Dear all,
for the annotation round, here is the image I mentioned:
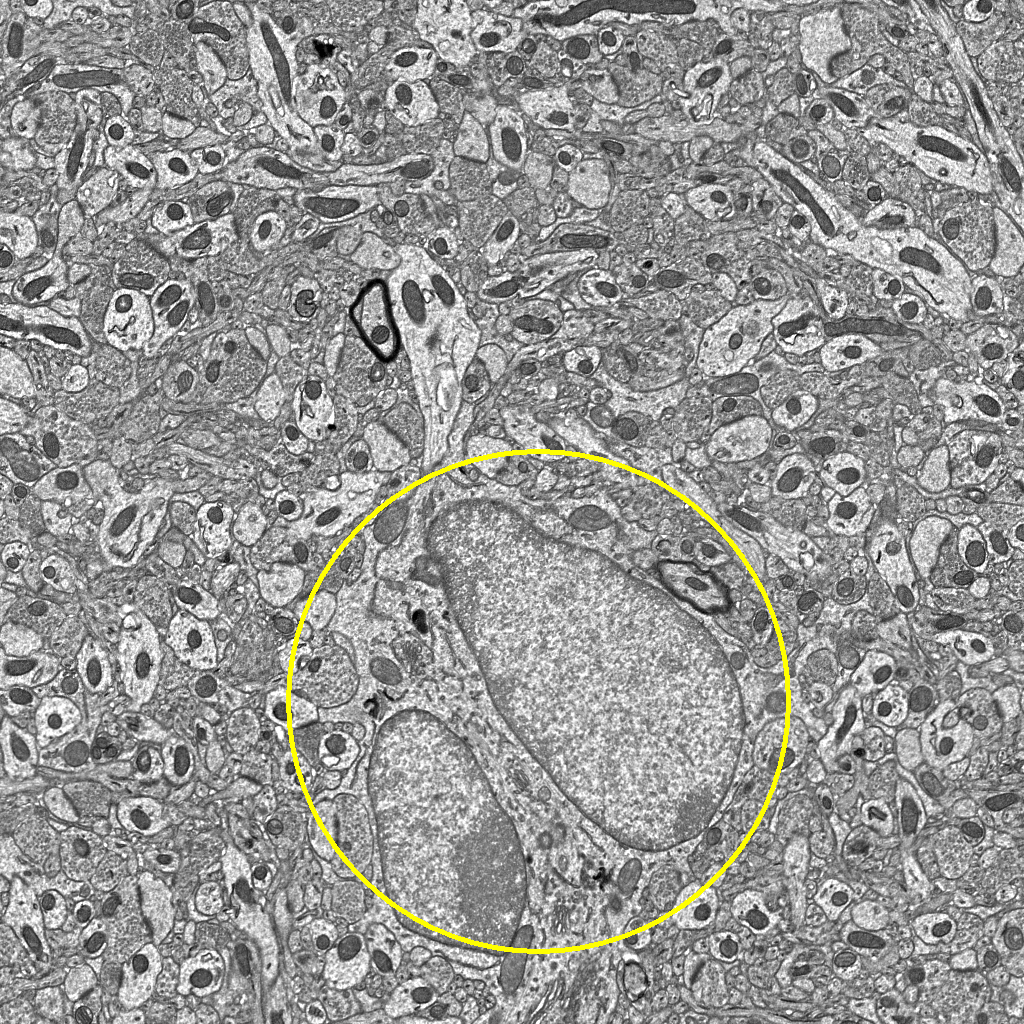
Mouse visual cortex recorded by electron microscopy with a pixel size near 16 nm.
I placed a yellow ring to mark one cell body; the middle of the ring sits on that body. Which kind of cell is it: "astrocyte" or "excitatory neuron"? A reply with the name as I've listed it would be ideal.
astrocyte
